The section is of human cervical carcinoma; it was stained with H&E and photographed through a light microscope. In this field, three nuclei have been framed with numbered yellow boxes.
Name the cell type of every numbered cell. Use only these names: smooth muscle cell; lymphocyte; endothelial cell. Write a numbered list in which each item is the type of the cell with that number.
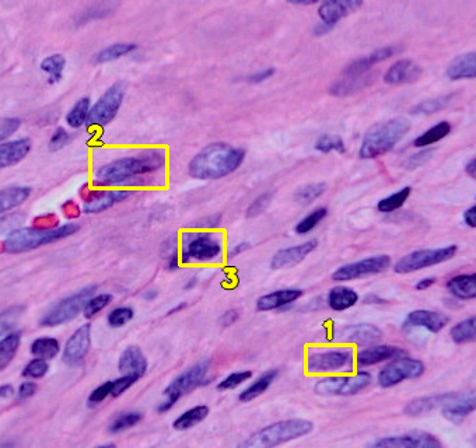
1. endothelial cell
2. endothelial cell
3. lymphocyte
